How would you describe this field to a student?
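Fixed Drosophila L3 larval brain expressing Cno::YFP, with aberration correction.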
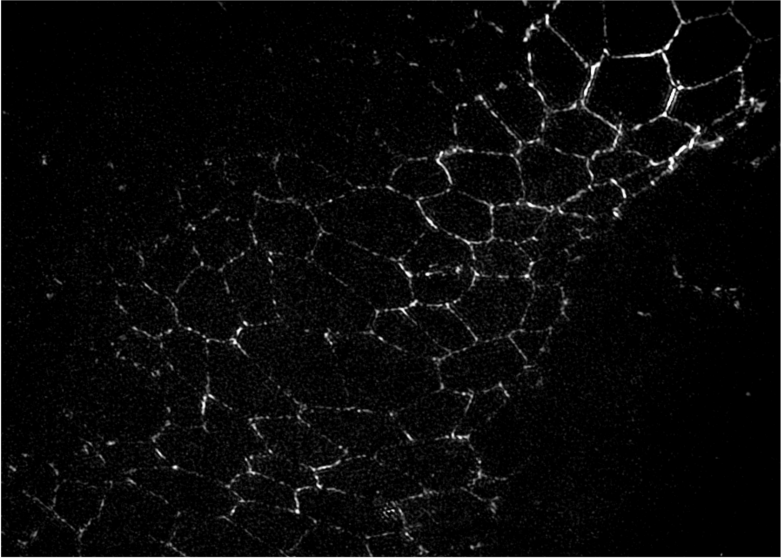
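Thin bright lines join up into a network of polygons, each polygon being one cell seen from above. The lines are not smooth but beaded, with brighter dots where several cells meet. The cell interiors are dark, so only the borders between neighbouring cells are marked, giving a tightly packed, sheet-like arrangement.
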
